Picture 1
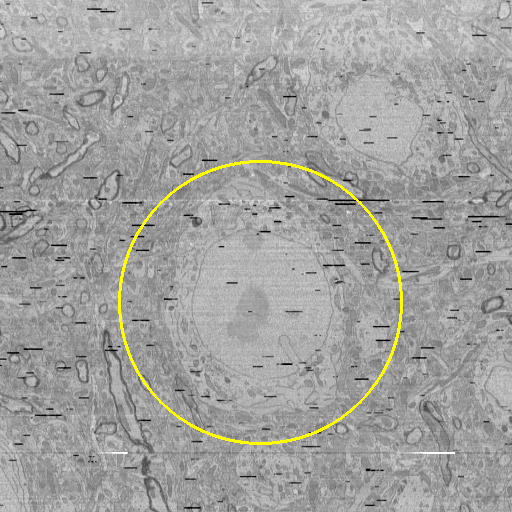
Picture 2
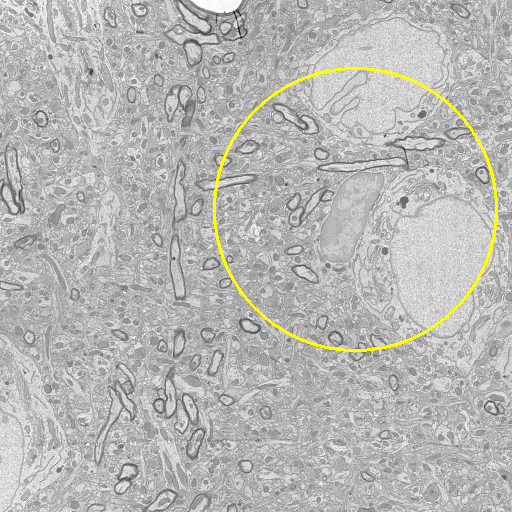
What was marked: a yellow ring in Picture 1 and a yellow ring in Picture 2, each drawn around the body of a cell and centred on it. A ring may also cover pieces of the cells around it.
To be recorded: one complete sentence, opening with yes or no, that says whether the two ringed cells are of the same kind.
No, the two ringed cells are of two kinds.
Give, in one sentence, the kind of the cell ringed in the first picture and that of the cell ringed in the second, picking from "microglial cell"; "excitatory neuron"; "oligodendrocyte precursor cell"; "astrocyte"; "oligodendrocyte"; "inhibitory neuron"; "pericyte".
For the first picture it is an excitatory neuron; for the second, a microglial cell.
